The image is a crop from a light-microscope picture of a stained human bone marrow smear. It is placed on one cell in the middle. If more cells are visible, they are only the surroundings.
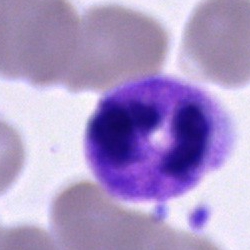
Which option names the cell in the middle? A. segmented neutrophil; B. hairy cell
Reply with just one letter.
A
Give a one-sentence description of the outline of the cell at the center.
The cell shows a smooth outline that lacks any surface projections.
